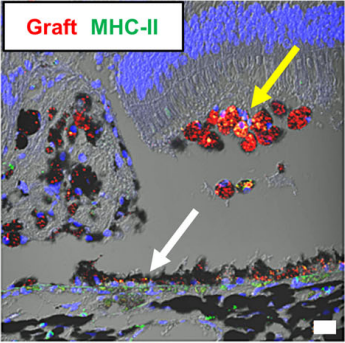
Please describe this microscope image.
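Just beneath the nuclear layer lies a cluster of rounded cells filled with coarse red granules and dark pigment, with a few green-and-yellow spots among them. A smaller group of similar granular cells sits further down in the gap. Irregular tissue containing red granules also lies at the left edge.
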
